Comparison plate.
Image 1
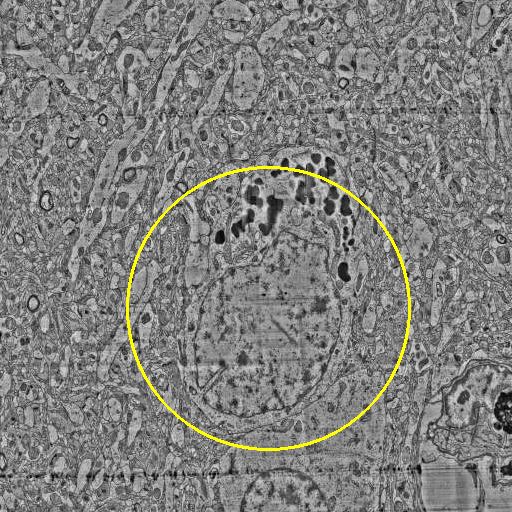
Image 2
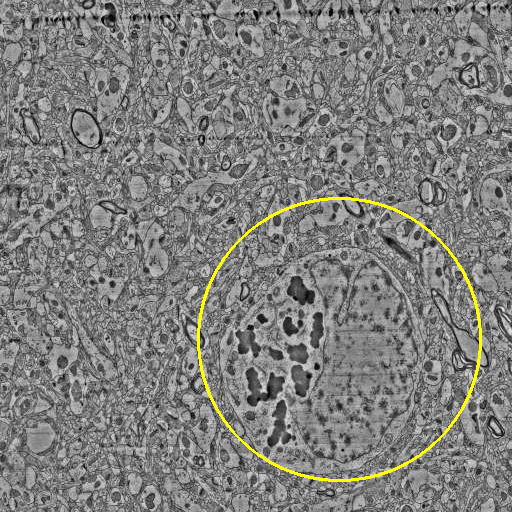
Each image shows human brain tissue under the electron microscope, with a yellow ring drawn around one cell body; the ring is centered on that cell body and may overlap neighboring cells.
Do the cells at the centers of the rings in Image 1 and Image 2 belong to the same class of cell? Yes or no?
yes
